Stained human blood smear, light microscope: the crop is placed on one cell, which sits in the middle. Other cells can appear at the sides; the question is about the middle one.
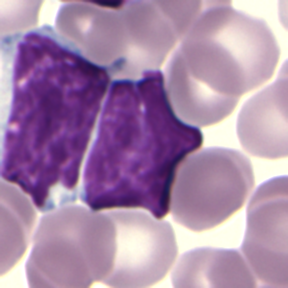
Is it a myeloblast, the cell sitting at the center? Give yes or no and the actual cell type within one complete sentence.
No, what sits in the centre of the crop is a typical lymphocyte rather than a myeloblast.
